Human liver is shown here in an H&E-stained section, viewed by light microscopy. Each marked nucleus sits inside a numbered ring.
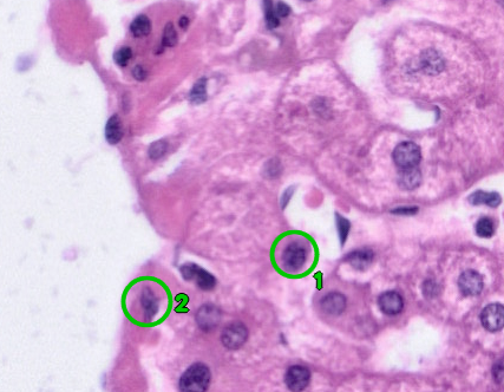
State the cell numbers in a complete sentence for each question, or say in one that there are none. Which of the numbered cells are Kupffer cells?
Among the marked cells, a Kupffer cell is found only at number 1.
